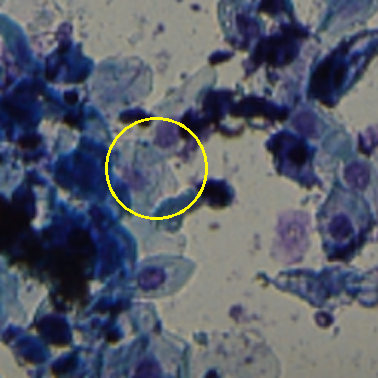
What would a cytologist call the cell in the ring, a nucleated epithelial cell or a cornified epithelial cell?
A cytologist would call it a cornified epithelial cell.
